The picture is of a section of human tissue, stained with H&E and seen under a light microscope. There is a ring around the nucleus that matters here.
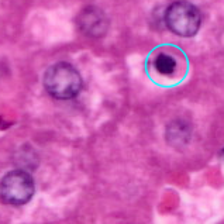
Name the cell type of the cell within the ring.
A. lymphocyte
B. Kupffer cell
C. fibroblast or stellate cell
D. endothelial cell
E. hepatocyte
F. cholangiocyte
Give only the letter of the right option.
A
